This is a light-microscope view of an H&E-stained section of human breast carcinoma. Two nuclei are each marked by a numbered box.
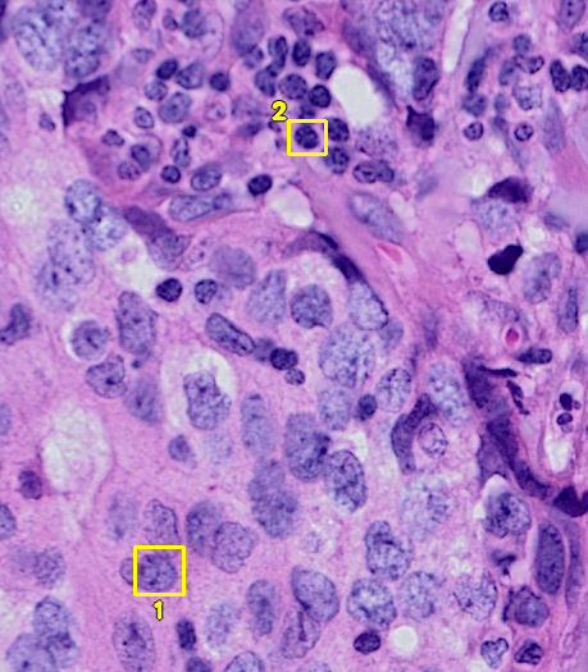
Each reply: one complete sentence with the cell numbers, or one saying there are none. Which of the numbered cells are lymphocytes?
Cell 2, and no other numbered cell, is a lymphocyte.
